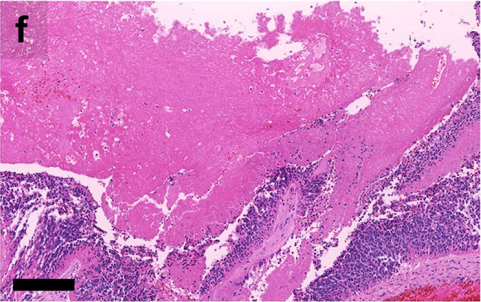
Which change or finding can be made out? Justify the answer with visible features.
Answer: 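A large pale pink acellular area occupies the upper part. Viable dark blue cellular tumor lies along the lower edge bordering it.
Conclusion: tumor necrosis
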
